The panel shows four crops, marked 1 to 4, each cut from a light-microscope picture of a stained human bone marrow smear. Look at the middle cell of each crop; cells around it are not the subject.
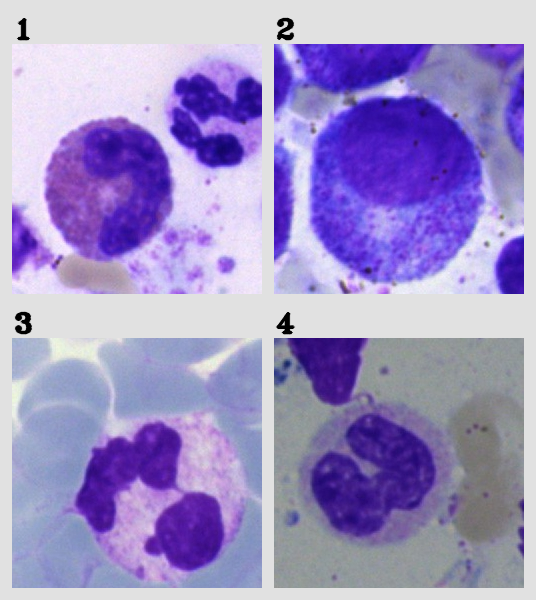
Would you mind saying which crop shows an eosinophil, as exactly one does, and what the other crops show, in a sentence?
Crop 1 carries an eosinophil in its middle, whereas crop 2 is a promyelocyte, crop 3 is a segmented neutrophil and crop 4 is a band neutrophil.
